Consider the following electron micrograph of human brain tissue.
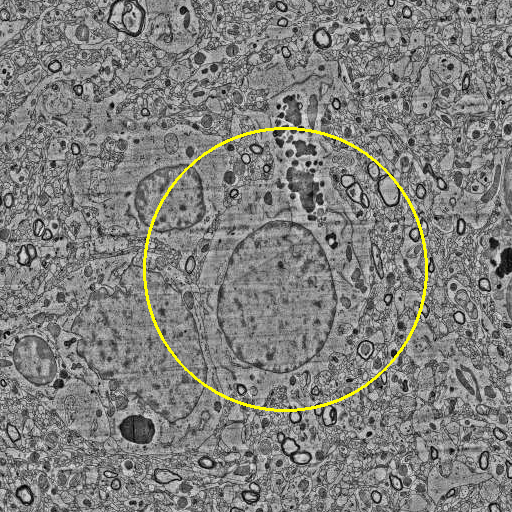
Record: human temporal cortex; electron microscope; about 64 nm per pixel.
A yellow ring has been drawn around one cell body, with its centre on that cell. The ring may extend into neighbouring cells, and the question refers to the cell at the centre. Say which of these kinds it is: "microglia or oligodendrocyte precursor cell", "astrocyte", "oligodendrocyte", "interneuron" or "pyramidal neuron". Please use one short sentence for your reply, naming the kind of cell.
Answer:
The centre of the ring falls on an astrocyte.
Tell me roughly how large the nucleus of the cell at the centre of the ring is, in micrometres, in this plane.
In this plane the nucleus measures roughly 10 by 7 micrometres.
